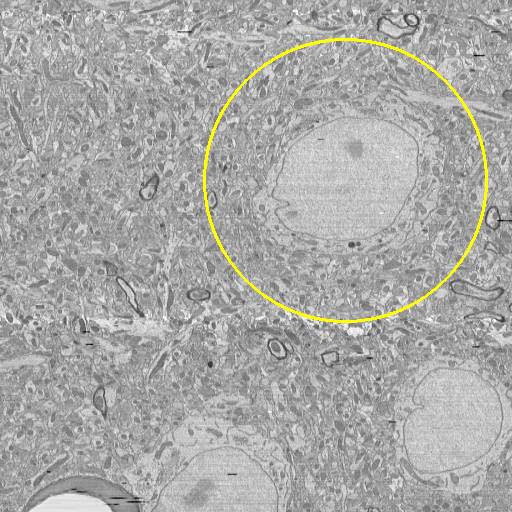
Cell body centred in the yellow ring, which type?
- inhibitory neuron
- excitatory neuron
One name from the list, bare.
excitatory neuron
